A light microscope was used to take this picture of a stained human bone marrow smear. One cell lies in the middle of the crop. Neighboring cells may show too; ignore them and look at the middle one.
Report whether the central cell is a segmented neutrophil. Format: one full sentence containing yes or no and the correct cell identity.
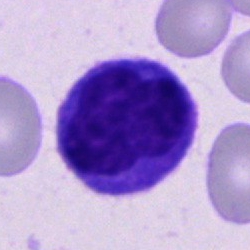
No, the centred cell is a monocyte instead of a segmented neutrophil.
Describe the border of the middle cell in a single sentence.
From every side, the cell boundary is smooth and free of projections.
